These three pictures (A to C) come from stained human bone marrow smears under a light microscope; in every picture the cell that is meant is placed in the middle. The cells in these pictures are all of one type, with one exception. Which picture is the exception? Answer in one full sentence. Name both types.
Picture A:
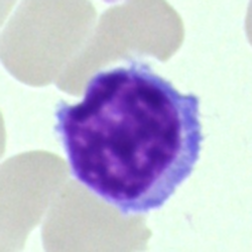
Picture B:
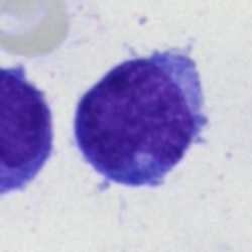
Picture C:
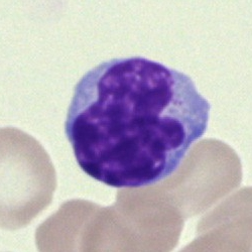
The others show lymphocytes, but picture B shows a blast.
